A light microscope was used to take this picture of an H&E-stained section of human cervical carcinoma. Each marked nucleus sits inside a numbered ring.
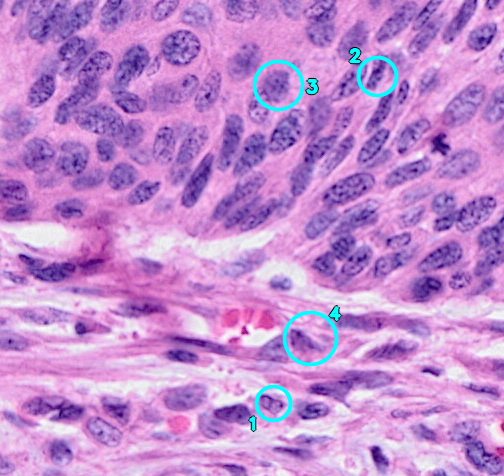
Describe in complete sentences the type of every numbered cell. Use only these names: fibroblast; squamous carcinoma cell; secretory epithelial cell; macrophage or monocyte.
Cell 1 is a macrophage or monocyte, cell 2 is a squamous carcinoma cell, cell 3 is a squamous carcinoma cell and cell 4 is a fibroblast.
